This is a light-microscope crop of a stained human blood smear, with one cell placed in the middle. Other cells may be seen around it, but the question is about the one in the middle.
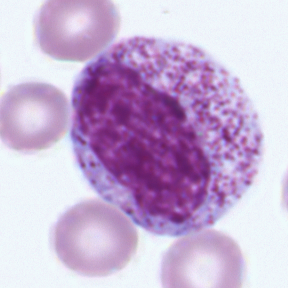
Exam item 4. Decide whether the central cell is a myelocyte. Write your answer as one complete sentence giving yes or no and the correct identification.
Yes, the cell in the center of the field is a myelocyte.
